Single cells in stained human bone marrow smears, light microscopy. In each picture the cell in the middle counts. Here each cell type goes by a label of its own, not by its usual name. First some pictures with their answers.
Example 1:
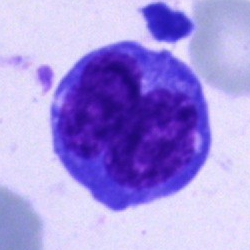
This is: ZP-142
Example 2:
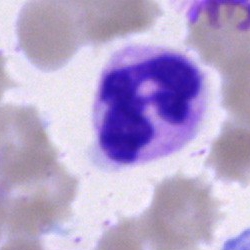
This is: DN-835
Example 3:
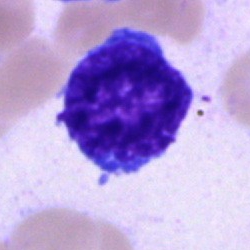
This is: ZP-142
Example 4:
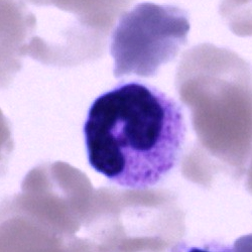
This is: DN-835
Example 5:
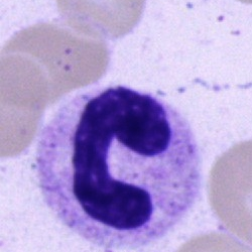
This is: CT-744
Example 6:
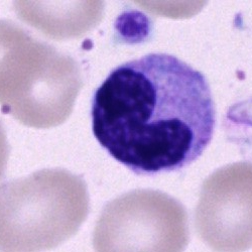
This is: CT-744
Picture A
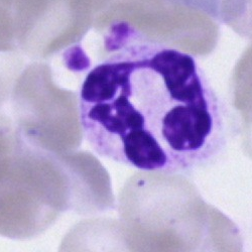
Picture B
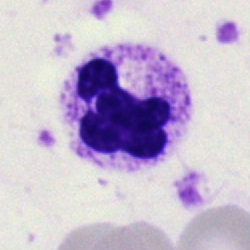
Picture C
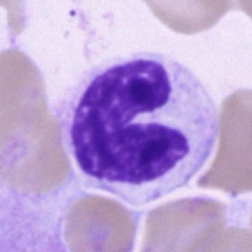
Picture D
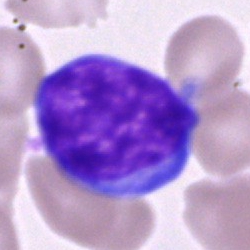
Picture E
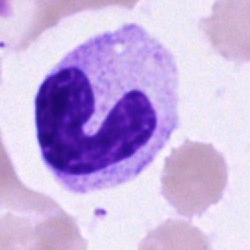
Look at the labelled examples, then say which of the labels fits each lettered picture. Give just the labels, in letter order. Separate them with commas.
DN-835, DN-835, CT-744, ZP-142, CT-744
